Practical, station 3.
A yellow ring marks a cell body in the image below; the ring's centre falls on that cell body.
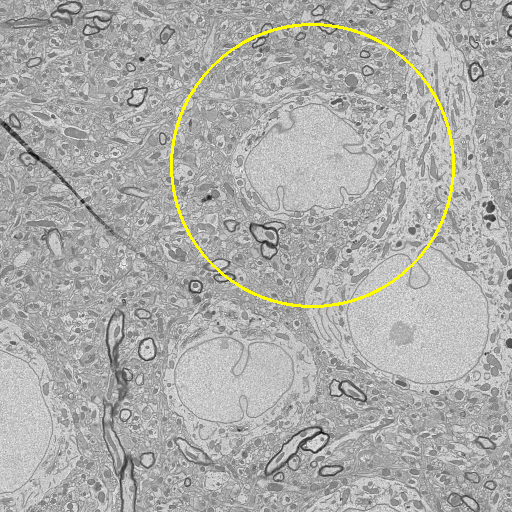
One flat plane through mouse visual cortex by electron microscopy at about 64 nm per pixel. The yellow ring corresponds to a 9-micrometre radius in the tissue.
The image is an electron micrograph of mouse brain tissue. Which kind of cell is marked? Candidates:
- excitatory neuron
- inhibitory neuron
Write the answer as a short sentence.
The marked cell body is that of an inhibitory neuron.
